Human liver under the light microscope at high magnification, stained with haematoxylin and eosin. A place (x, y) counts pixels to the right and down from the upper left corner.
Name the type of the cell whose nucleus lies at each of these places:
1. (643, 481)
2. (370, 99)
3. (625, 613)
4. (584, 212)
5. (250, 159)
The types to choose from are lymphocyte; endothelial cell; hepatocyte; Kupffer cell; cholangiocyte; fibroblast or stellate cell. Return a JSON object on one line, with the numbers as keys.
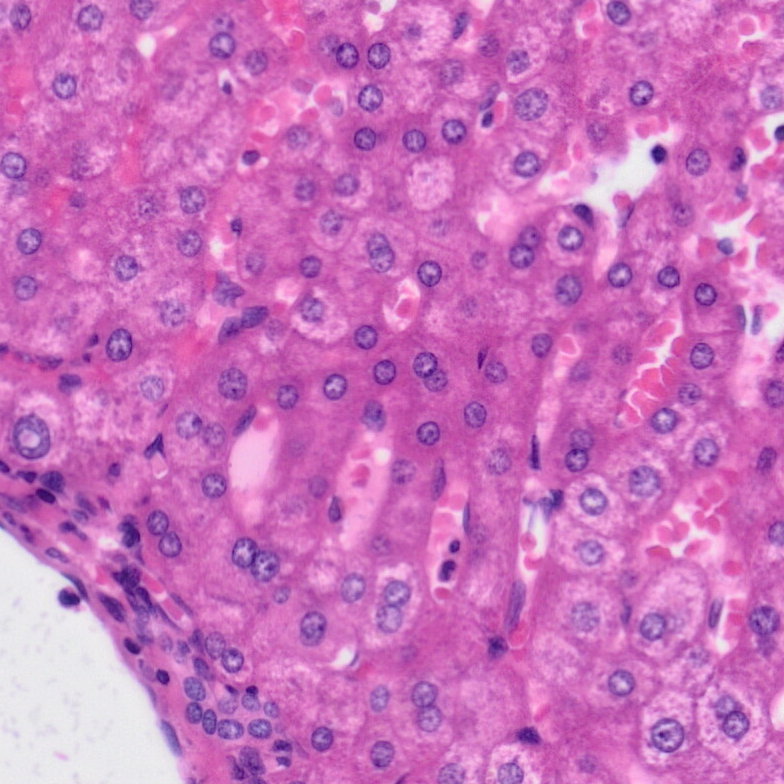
{"1": "hepatocyte", "2": "hepatocyte", "3": "fibroblast or stellate cell", "4": "fibroblast or stellate cell", "5": "lymphocyte"}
